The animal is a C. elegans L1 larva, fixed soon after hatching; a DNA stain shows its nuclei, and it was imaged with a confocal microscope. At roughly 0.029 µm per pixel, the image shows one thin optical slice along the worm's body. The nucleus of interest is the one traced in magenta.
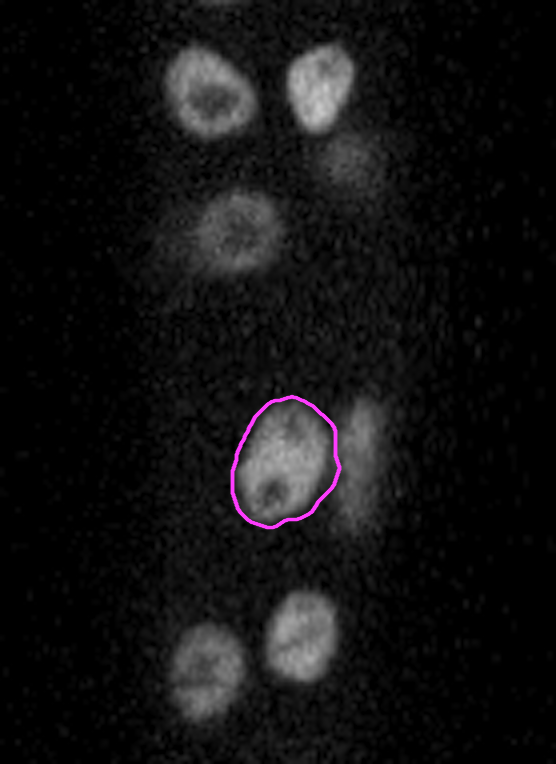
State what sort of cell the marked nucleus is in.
seam cell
